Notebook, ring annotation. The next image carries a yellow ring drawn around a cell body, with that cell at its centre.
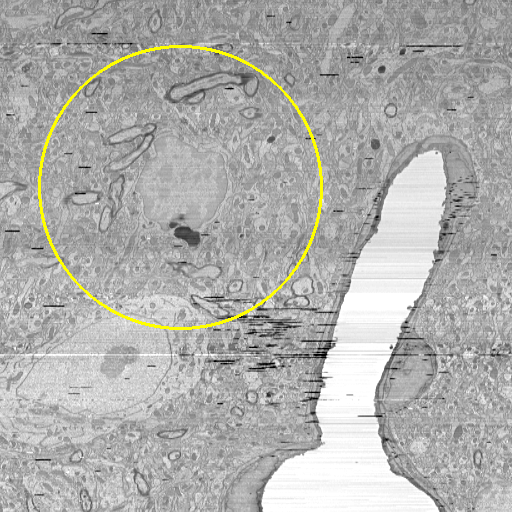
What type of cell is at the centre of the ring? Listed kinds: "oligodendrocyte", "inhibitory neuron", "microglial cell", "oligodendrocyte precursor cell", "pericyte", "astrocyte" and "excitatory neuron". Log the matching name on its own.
microglial cell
